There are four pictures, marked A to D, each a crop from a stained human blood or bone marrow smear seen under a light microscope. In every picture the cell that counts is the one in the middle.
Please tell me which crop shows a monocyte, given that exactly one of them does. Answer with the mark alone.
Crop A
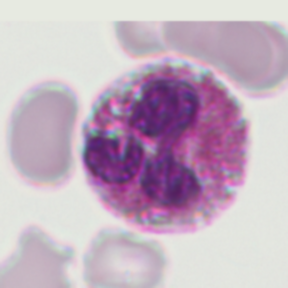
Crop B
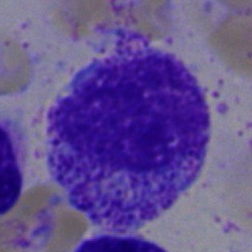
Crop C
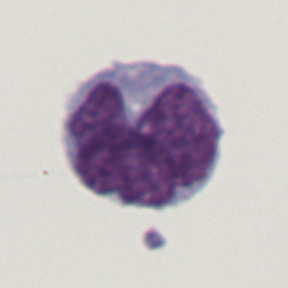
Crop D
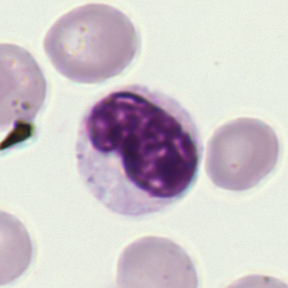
C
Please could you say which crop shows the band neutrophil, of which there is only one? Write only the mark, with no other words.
D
